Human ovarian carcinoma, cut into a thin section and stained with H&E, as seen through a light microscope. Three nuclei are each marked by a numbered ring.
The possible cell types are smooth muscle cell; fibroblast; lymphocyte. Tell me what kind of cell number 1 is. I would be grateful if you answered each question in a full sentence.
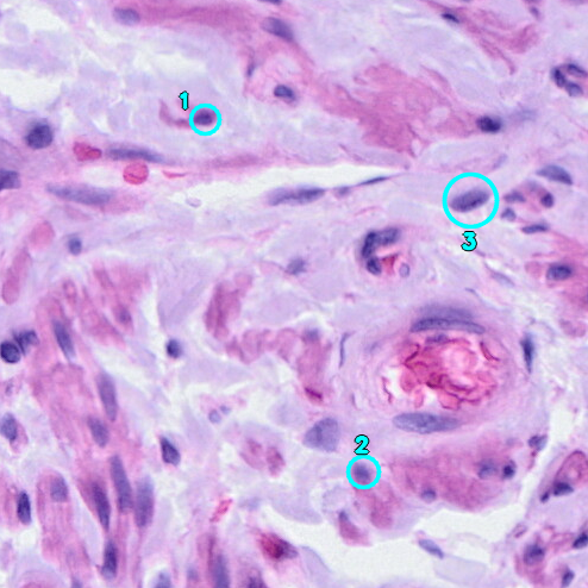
The one numbered 1 among the marked cells is a smooth muscle cell.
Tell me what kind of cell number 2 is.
The mark numbered 2 indicates the nucleus of a smooth muscle cell.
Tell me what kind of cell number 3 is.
As for number 3, that cell is a fibroblast.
